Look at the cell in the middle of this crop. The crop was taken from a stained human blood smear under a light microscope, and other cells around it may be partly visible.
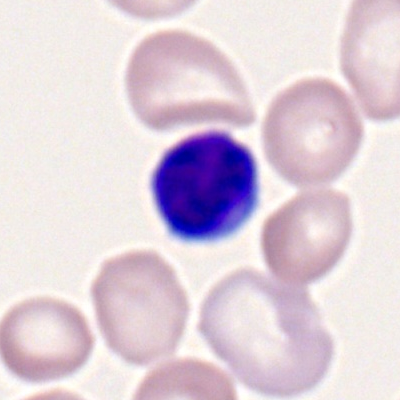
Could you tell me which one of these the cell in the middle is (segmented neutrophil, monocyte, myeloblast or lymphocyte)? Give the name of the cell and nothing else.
lymphocyte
